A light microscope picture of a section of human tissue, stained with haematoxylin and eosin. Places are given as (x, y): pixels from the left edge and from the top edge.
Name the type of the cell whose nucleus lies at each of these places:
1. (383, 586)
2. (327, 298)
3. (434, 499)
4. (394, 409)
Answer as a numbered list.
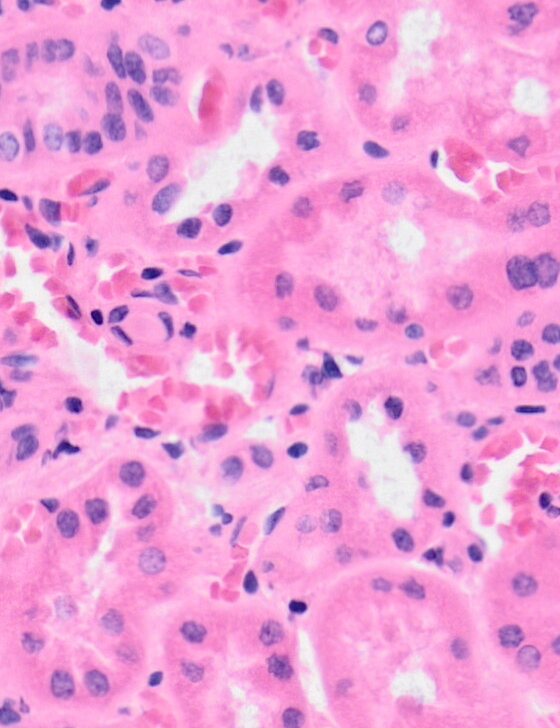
1. proximal tubule cell
2. proximal tubule cell
3. loop of Henle or distal tubule cell
4. loop of Henle or distal tubule cell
